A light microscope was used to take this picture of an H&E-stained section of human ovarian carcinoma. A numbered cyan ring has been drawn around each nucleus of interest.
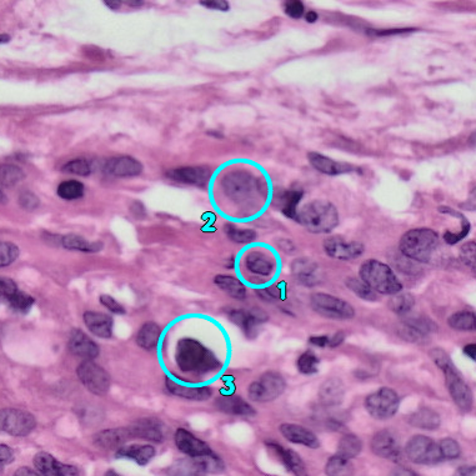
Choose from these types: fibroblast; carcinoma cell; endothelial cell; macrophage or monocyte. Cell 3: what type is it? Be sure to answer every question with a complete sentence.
The cell to which the number 3 is assigned is a carcinoma cell.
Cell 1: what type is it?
The cell whose nucleus carries the number 1 is a macrophage or monocyte.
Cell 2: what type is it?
Among the marked nuclei, number 2 belongs to a carcinoma cell.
